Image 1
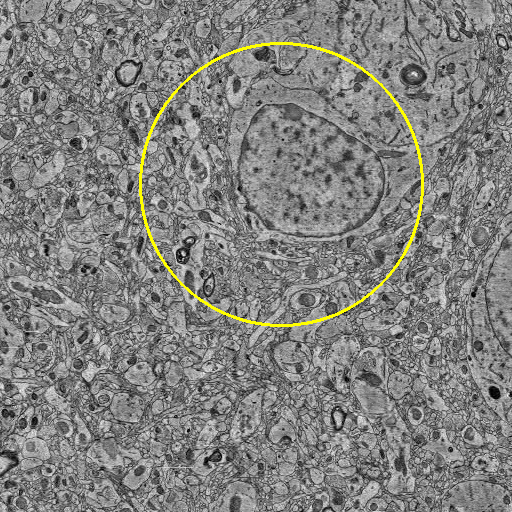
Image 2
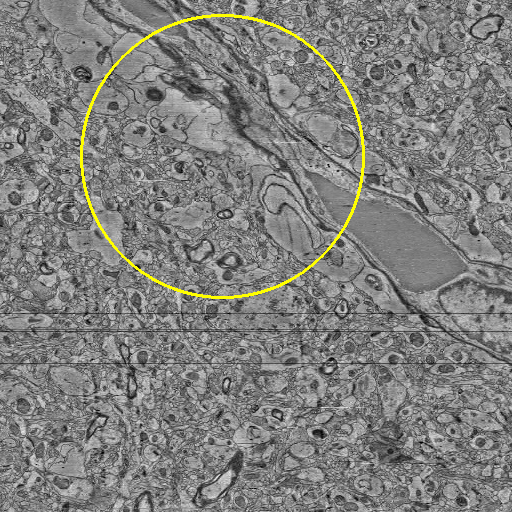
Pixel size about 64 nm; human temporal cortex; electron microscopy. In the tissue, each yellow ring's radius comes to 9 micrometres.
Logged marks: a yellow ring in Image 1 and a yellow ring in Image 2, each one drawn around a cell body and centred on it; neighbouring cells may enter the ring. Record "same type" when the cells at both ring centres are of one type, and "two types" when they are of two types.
same type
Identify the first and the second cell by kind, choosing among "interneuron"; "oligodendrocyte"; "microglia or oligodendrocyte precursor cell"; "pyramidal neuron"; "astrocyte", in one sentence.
Each cell, in the first picture and the second, is a microglial cell or oligodendrocyte precursor cell.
